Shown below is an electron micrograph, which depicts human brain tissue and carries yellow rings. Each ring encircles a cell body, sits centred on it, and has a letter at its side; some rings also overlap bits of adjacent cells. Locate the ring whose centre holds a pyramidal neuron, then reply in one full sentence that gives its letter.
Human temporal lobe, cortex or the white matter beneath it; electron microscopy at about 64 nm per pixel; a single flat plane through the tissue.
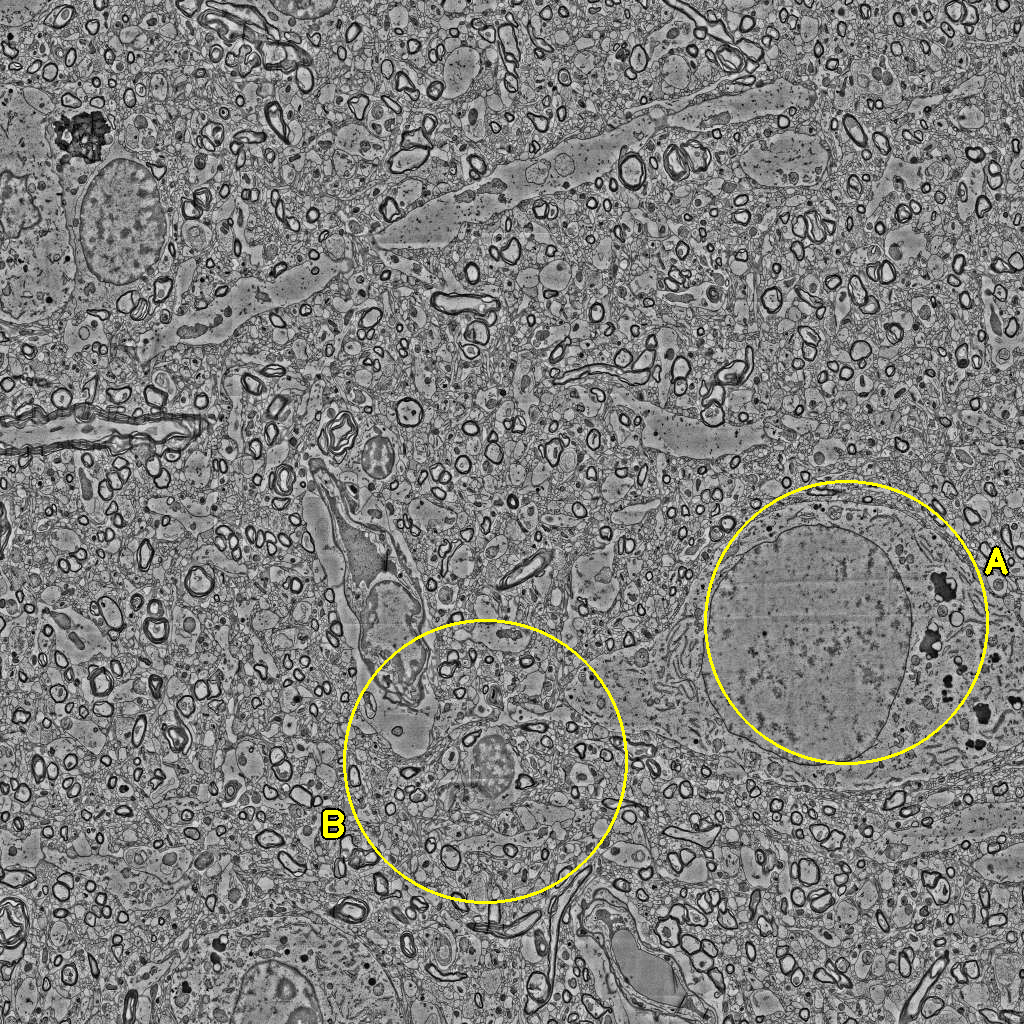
The ring centred on the cell asked for is the one marked A.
